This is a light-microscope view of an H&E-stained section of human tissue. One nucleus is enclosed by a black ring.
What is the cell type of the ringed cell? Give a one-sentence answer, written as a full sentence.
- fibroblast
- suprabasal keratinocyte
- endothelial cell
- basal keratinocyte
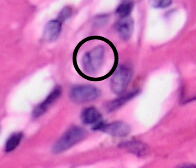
As far as its identity is concerned, the ringed cell is an endothelial cell.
